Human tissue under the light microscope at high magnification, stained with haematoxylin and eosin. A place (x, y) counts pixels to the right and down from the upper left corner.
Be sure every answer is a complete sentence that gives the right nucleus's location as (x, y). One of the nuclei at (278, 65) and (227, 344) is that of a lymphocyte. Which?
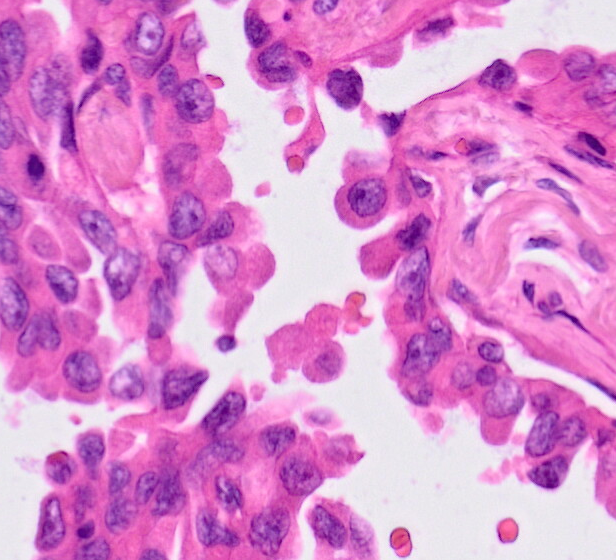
The nucleus at (227, 344) is the one of the two that belongs to a lymphocyte.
